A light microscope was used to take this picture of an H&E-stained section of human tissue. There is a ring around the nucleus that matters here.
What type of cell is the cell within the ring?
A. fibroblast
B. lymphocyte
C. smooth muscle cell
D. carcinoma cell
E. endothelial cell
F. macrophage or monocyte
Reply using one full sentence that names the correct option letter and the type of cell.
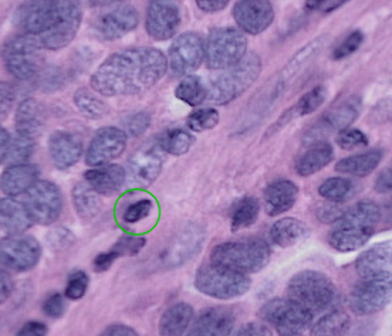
The right pick is option B; the cell within the ring is a lymphocyte.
